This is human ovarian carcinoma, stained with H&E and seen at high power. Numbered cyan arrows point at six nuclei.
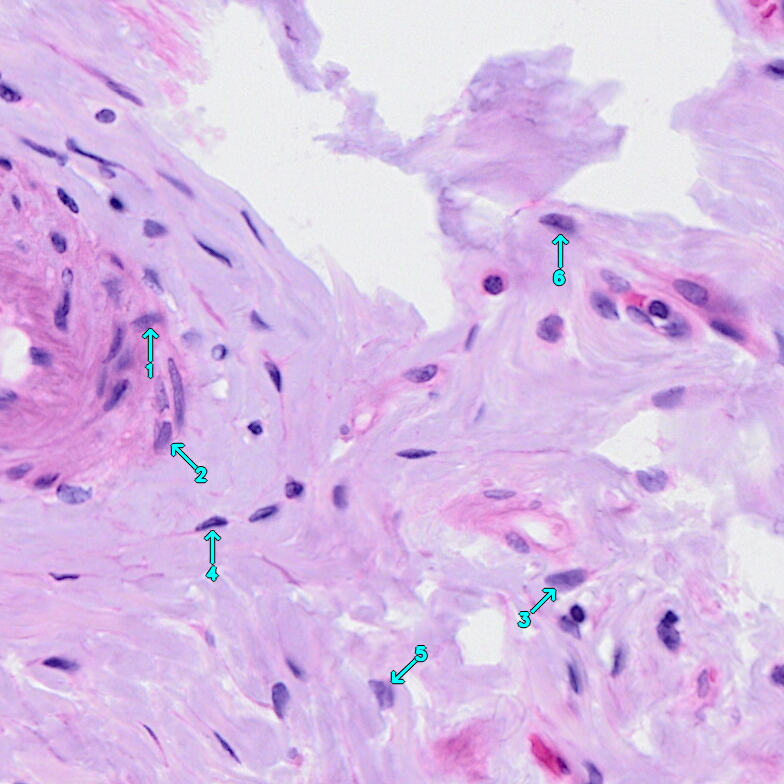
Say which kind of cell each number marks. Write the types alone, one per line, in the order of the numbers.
smooth muscle cell
smooth muscle cell
fibroblast
fibroblast
fibroblast
fibroblast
